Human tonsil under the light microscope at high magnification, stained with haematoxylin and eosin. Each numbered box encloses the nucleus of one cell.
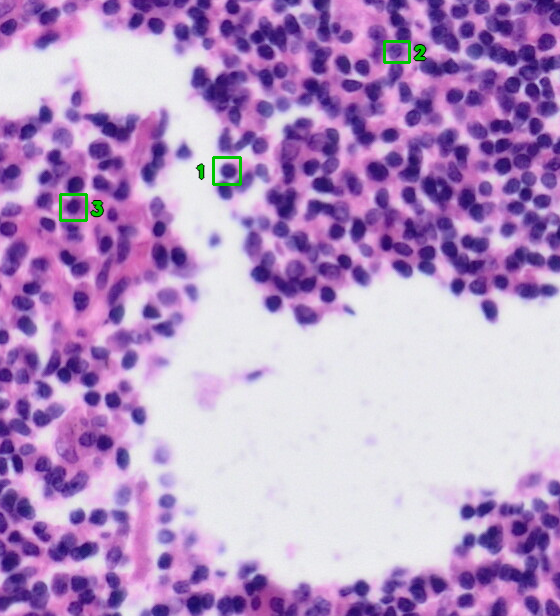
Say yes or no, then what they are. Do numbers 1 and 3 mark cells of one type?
No, cell 1 is recognized as a small lymphocyte, and cell 3 as a plasma cell.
